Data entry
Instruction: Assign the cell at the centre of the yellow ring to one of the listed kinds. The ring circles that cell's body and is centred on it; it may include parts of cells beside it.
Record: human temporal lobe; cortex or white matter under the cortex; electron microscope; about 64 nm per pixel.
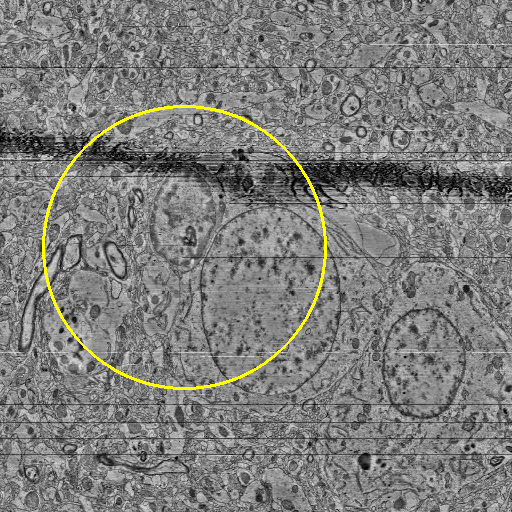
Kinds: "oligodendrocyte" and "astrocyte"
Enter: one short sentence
The centre of the ring falls on an oligodendrocyte.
